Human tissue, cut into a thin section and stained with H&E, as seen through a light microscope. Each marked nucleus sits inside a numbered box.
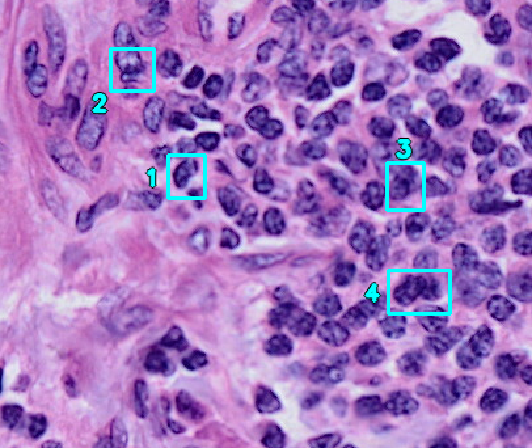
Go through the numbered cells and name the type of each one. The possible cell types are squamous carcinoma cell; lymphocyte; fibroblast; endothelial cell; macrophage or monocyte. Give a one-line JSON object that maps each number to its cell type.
{"1": "lymphocyte", "2": "endothelial cell", "3": "lymphocyte", "4": "lymphocyte"}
